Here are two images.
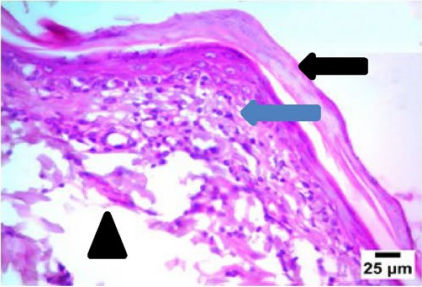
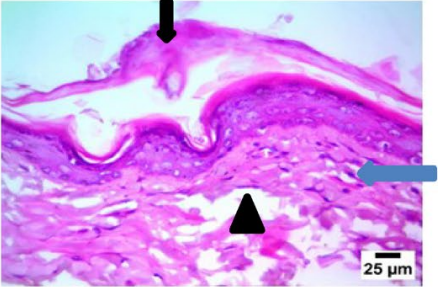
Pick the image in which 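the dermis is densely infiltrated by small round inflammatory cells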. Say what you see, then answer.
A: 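Second image: the upper dermis shows only scattered small dark nuclei among collagen fibres. First image: the upper dermis below the epidermis is crowded with many small dark round nuclei. On this evidence: the first image.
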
